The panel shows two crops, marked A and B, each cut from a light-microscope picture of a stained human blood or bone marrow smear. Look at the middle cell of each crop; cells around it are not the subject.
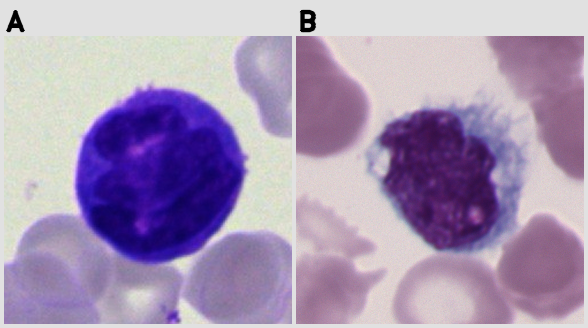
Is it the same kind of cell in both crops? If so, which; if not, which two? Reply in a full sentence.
Yes, both the first crop and the second crop show monocytes.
